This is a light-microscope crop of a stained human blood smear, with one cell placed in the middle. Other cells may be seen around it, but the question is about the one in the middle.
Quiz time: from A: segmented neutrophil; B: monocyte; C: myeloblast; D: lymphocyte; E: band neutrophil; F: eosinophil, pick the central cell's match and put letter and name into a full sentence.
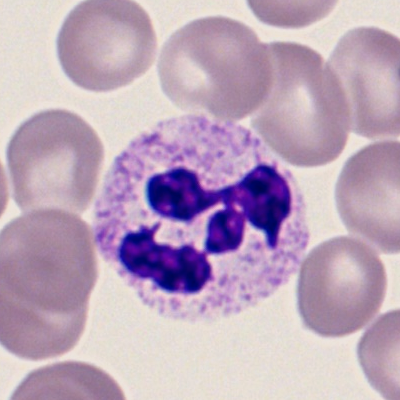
Here the central cell is a segmented neutrophil, and option A is correct.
